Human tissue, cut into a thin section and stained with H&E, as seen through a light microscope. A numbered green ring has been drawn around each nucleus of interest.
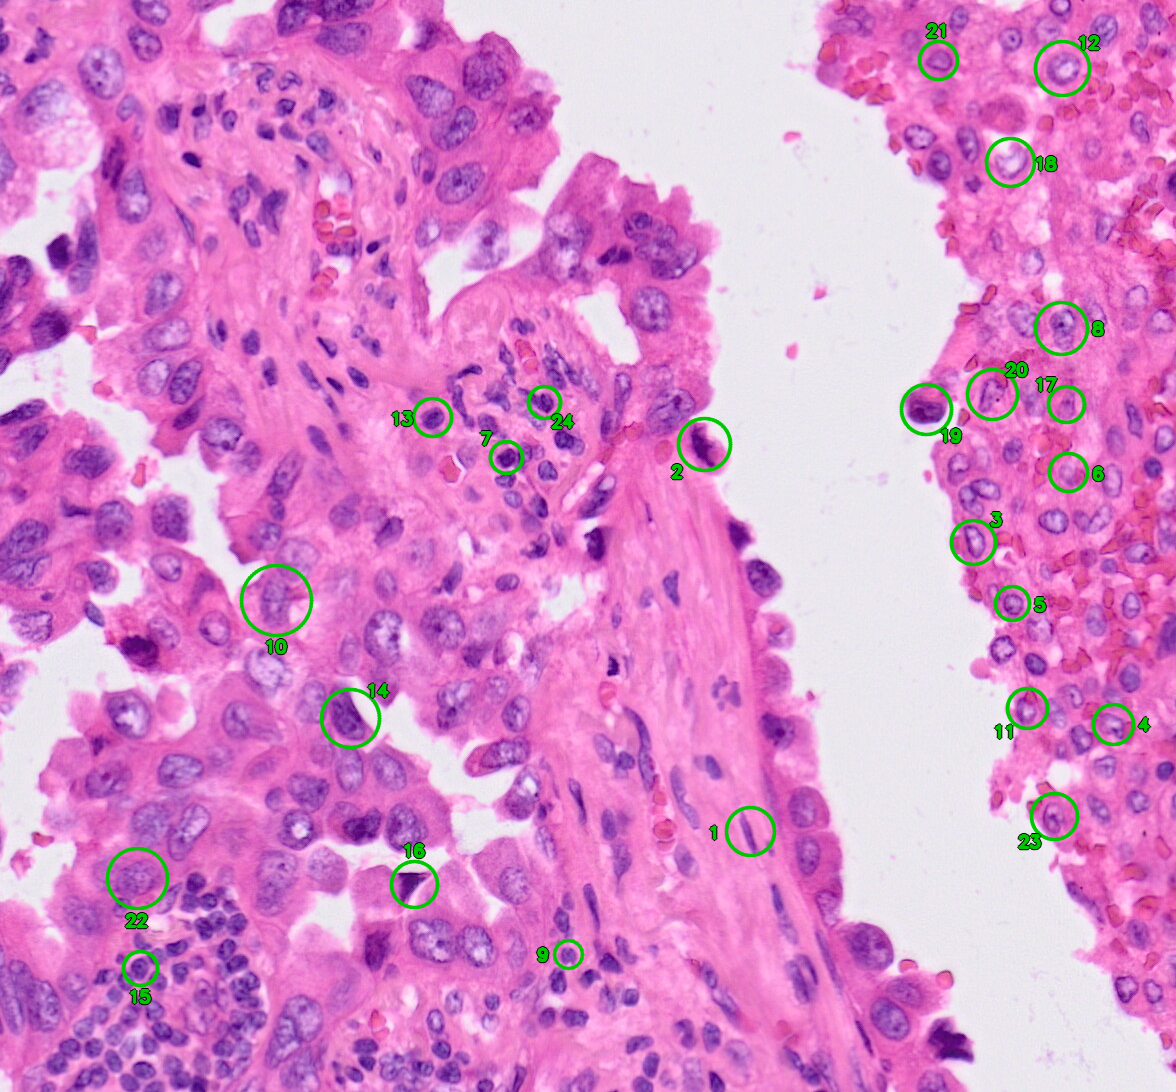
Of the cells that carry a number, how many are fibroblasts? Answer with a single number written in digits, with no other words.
1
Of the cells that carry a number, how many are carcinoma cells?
6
